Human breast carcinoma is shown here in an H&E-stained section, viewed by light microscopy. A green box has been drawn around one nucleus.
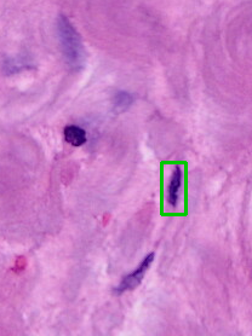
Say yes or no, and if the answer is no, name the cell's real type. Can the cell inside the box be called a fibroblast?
Yes.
